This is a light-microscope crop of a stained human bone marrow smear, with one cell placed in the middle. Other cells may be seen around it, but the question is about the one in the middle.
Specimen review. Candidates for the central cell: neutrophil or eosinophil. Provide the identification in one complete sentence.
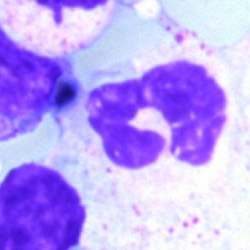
Centred in the crop is a neutrophil.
